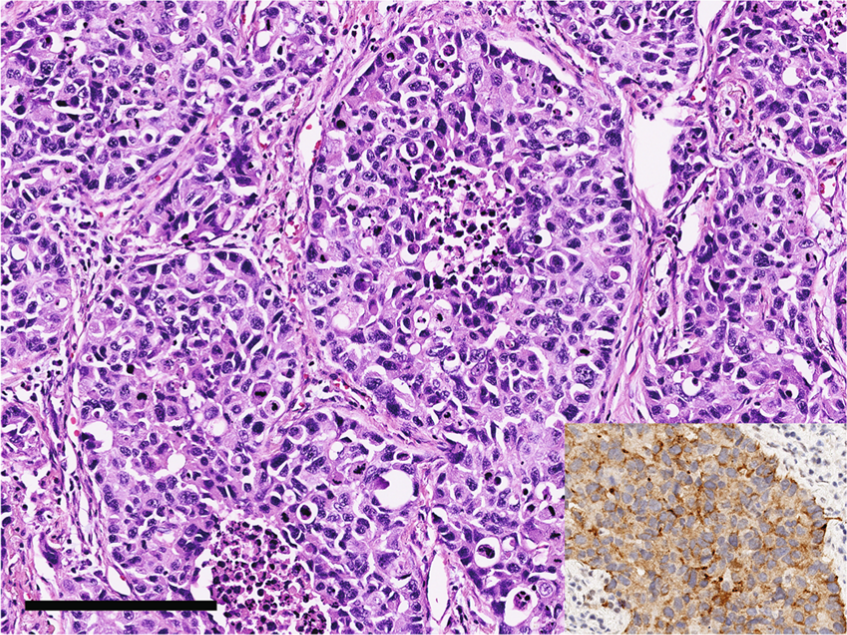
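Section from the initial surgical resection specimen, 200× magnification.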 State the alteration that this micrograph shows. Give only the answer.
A: Necrosis.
